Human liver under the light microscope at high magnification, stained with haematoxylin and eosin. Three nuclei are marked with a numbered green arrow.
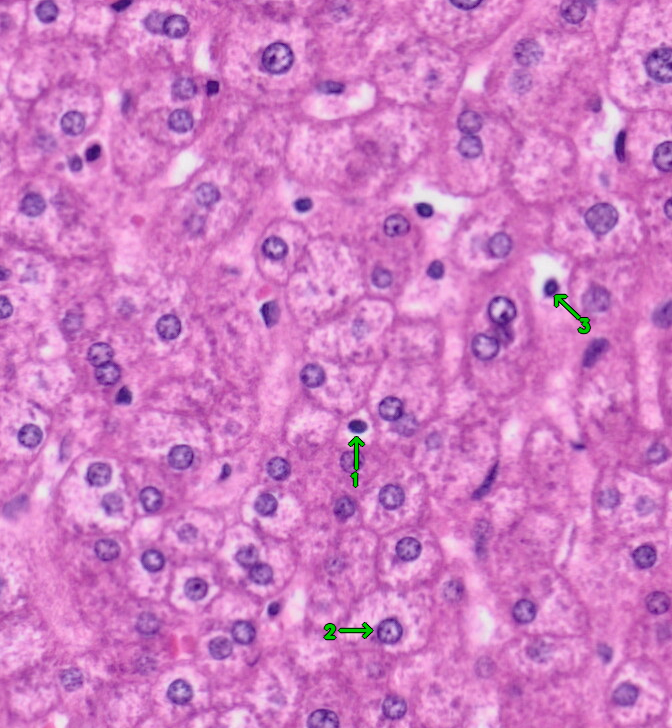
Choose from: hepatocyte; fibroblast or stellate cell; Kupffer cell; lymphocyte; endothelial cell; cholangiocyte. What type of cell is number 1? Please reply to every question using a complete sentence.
As for number 1, that cell is a lymphocyte.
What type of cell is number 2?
In this section, number 2 marks a hepatocyte.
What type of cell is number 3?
The cell assigned the number 3 is a lymphocyte.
